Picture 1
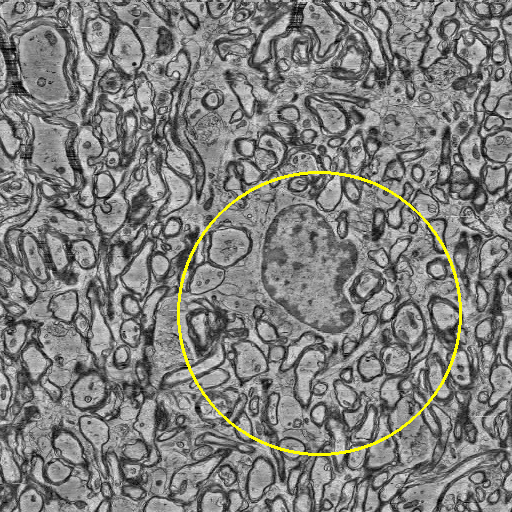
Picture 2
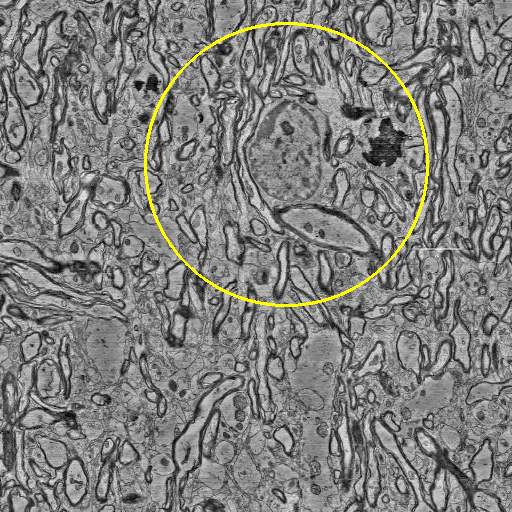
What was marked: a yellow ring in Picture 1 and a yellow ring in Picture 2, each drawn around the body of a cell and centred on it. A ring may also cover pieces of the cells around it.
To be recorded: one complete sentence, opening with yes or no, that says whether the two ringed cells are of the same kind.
No, the two ringed cells are of two kinds.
